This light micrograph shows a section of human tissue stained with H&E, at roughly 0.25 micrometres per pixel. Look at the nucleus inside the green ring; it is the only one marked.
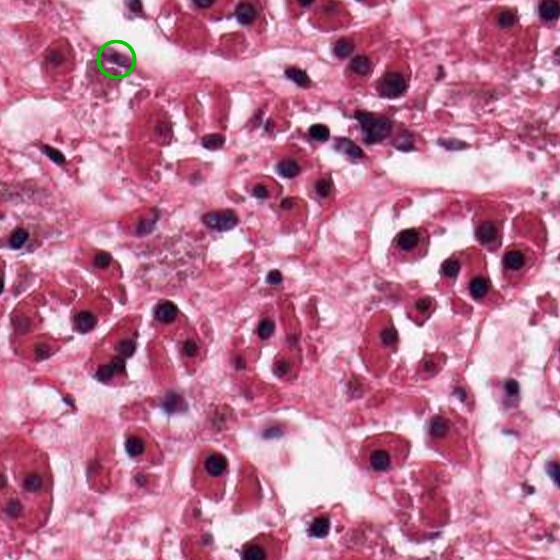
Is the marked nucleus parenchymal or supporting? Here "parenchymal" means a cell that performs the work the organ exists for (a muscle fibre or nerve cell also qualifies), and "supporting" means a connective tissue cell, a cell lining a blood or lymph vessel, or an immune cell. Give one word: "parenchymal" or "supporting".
supporting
